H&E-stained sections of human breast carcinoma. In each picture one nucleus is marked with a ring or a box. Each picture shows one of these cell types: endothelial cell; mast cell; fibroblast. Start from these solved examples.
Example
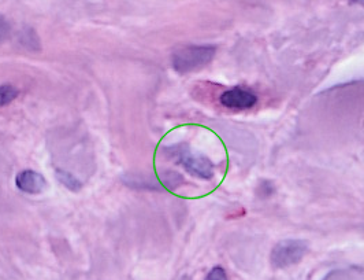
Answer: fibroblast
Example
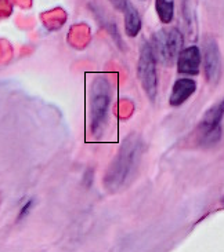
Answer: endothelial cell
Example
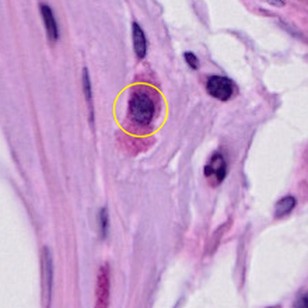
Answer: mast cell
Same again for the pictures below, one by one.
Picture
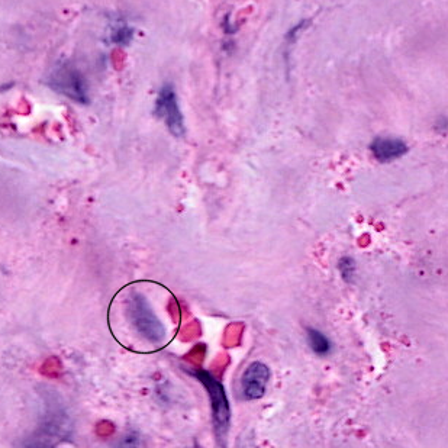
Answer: endothelial cell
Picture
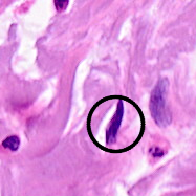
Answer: fibroblast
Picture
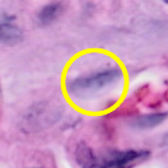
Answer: endothelial cell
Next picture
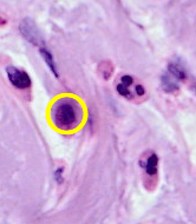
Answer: mast cell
